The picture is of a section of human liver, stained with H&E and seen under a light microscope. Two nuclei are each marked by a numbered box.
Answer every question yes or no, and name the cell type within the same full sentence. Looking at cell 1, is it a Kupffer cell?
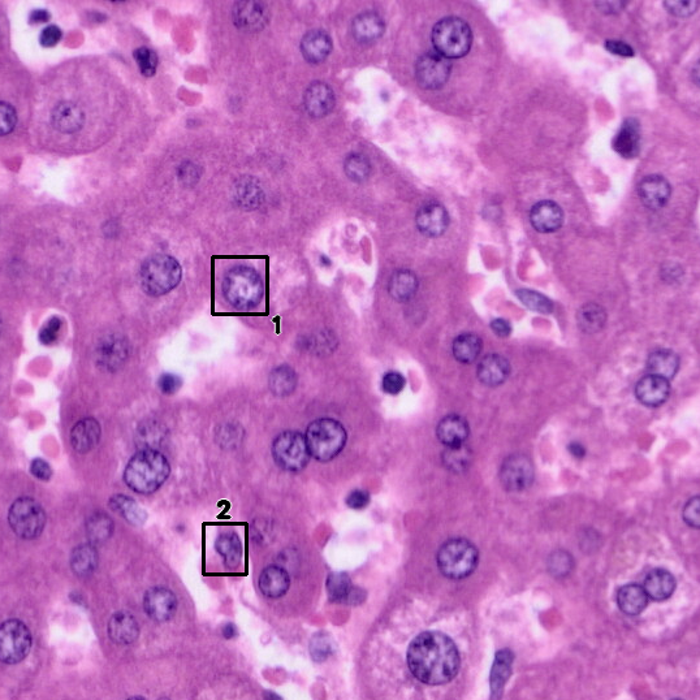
No, cell 1 is a hepatocyte and should not be called a Kupffer cell.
